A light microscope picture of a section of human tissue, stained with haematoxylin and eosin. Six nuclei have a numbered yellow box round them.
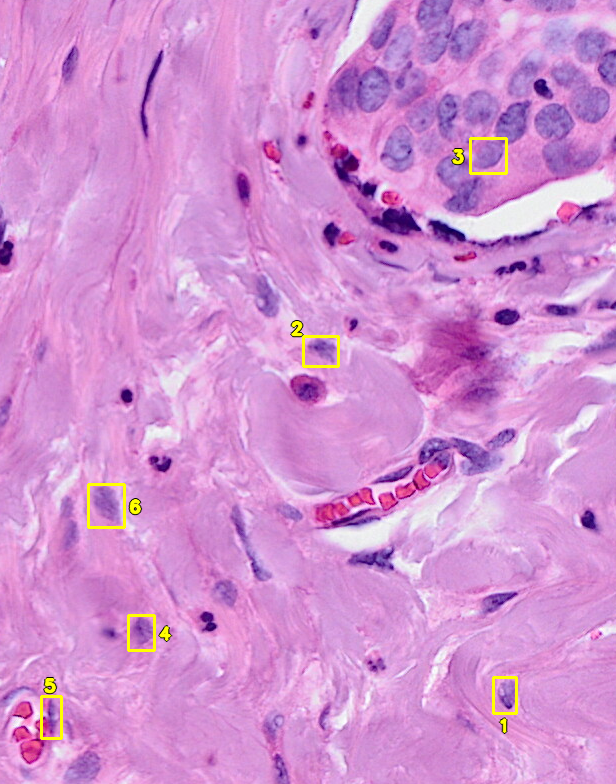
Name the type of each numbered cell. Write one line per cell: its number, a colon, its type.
1: fibroblast
2: fibroblast
3: carcinoma cell
4: fibroblast
5: endothelial cell
6: fibroblast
